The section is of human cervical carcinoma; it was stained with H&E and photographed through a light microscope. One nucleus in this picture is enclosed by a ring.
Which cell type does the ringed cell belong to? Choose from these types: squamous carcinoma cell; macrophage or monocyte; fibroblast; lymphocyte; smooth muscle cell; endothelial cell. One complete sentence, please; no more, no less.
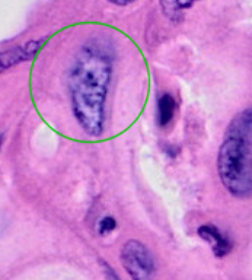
In this tissue section, the ringed cell is to be classed as a squamous carcinoma cell.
